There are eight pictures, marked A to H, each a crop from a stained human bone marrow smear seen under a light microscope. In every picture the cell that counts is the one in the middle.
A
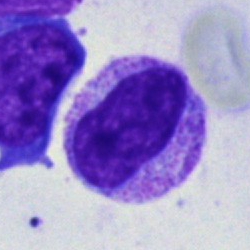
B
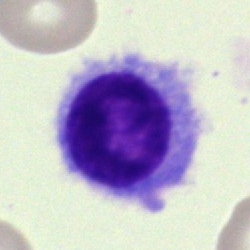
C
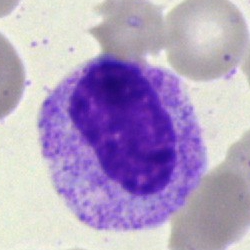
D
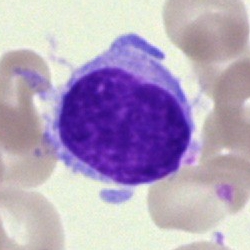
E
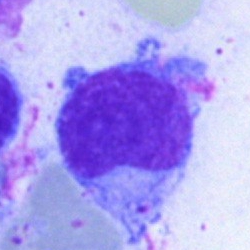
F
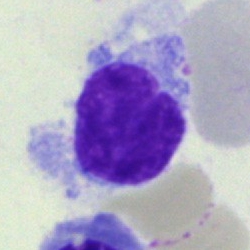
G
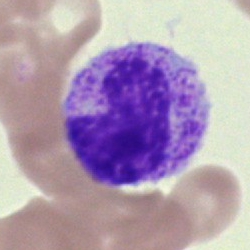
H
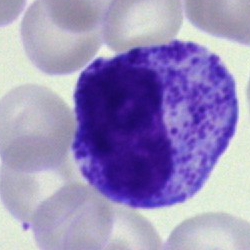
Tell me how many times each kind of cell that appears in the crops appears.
metamyelocyte: 4
hairy cell: 4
